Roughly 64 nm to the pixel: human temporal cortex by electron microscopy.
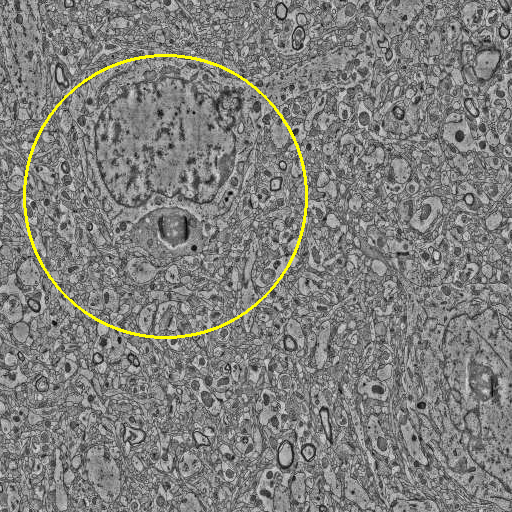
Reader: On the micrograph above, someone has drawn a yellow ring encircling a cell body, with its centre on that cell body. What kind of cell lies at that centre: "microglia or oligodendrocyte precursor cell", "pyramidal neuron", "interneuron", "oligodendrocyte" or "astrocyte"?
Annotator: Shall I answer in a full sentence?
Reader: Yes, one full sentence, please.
Here an oligodendrocyte sits at the centre of the yellow ring drawn on the micrograph.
